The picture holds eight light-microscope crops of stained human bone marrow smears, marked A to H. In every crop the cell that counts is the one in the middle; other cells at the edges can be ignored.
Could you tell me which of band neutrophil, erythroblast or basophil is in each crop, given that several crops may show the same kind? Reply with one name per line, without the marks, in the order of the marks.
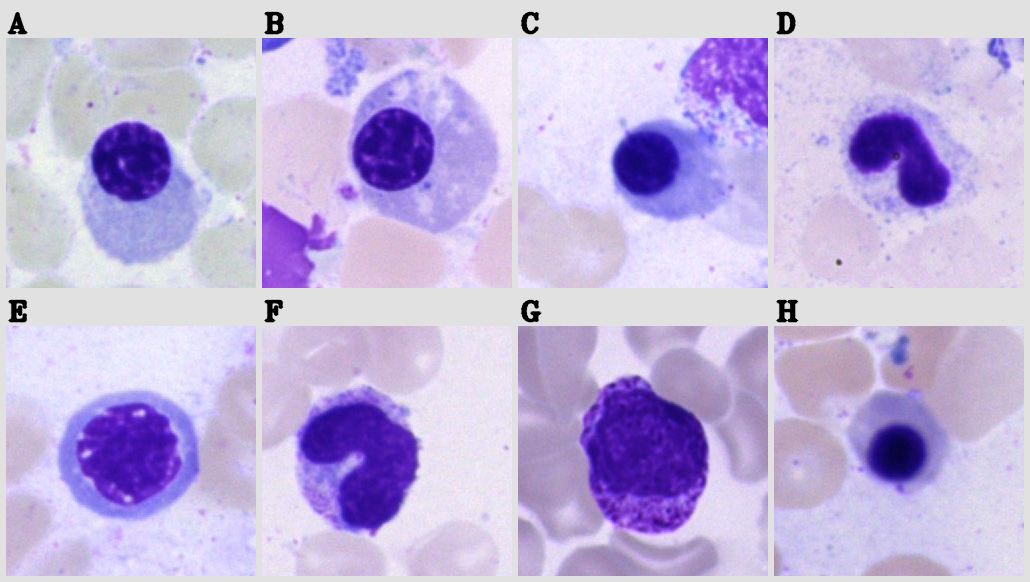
erythroblast
erythroblast
erythroblast
band neutrophil
erythroblast
band neutrophil
basophil
erythroblast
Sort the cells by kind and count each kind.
erythroblast: 5
band neutrophil: 2
basophil: 1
